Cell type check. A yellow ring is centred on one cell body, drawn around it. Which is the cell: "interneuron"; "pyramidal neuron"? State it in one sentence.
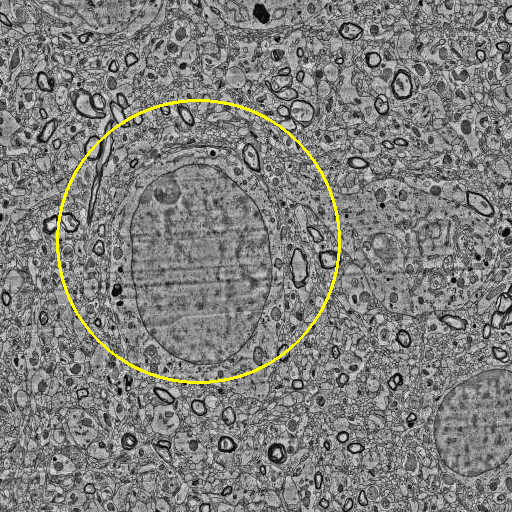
The cell body at the ring's centre belongs to a pyramidal neuron.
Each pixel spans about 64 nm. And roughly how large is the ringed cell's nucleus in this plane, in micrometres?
In this plane, approximately 13 by 9 micrometers.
